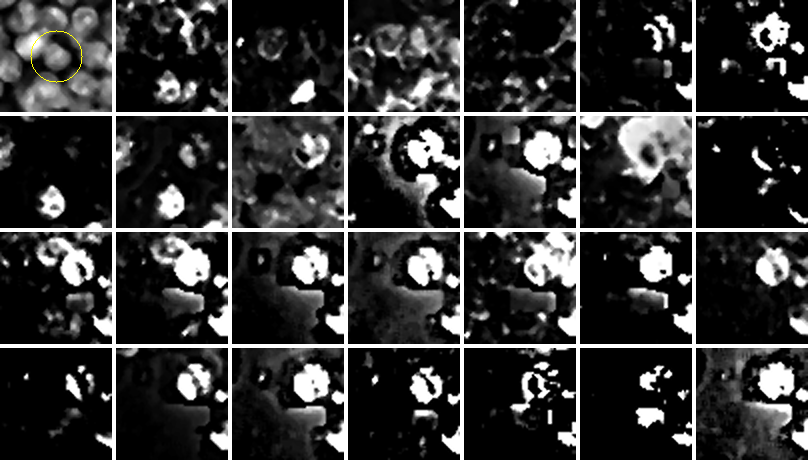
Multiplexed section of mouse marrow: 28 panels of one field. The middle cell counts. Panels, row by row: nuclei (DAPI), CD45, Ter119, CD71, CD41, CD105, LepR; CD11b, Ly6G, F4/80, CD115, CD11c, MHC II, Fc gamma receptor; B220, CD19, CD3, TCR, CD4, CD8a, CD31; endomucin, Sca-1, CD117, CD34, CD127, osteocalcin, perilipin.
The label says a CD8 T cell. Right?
Wrong: this is a common lymphoid progenitor.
